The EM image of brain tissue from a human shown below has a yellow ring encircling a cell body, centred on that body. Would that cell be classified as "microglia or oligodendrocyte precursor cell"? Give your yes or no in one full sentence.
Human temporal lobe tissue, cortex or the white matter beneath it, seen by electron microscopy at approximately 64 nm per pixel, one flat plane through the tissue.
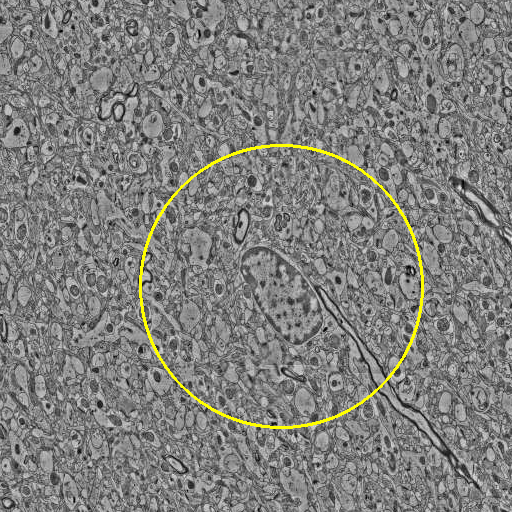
Yes, the cell at the centre of the ring in the picture falls in that class.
